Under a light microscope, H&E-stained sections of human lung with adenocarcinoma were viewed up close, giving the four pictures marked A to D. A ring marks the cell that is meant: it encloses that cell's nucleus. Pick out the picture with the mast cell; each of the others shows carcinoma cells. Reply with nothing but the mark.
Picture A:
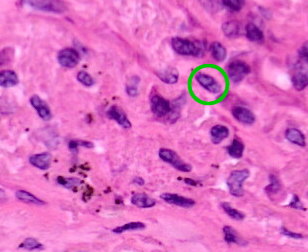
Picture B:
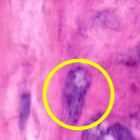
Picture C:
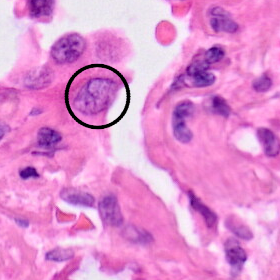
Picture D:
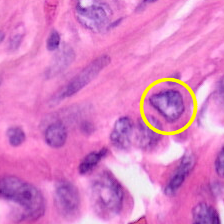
A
